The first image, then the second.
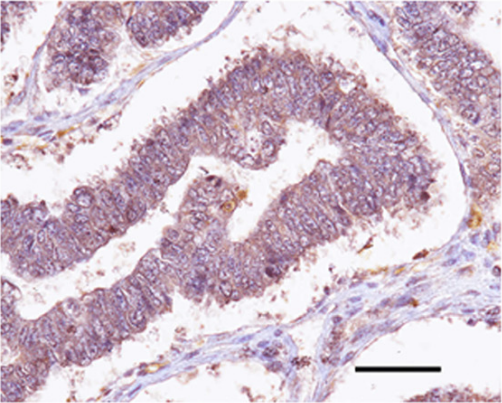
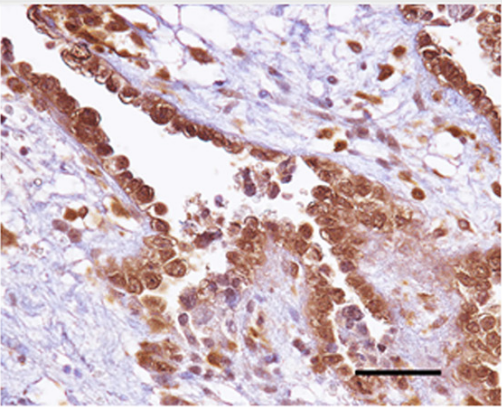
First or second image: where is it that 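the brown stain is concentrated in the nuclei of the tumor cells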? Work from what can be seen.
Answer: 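First image: nuclei are blue-purple with only a faint diffuse brownish tint over the cells. Second image: many nuclei are solid dark brown. On this evidence: the second image.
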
